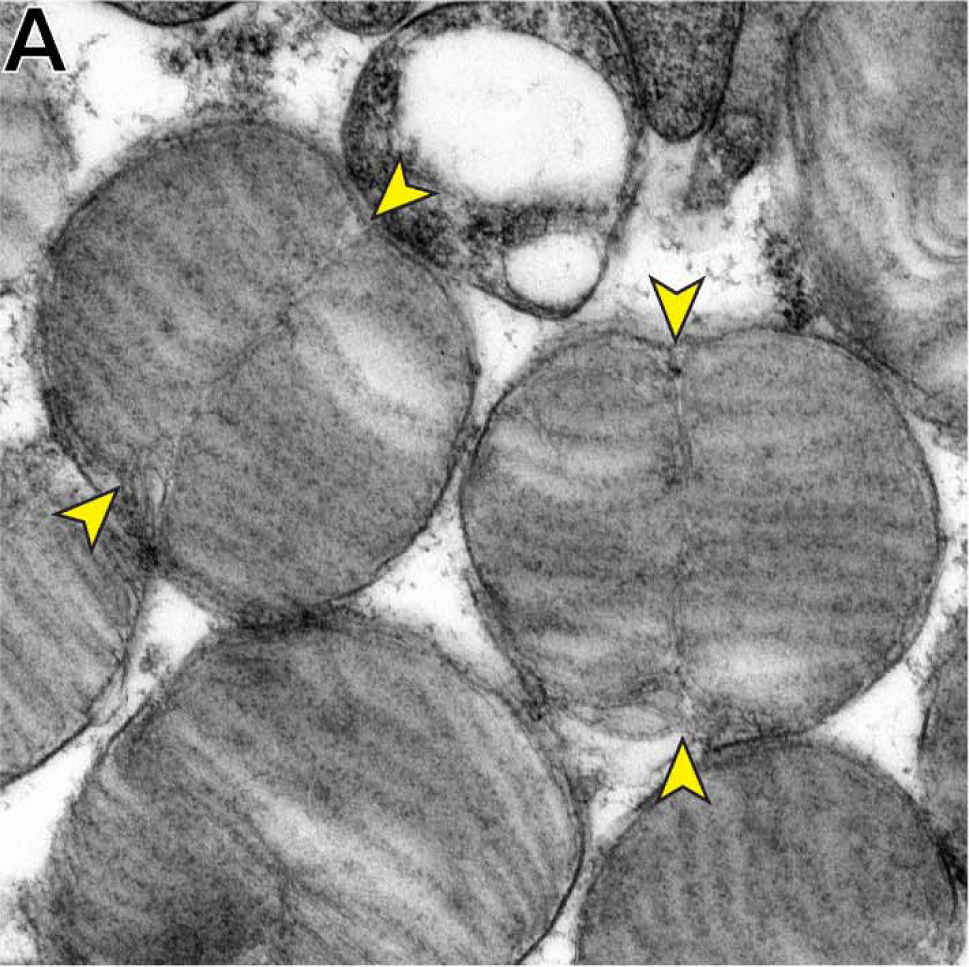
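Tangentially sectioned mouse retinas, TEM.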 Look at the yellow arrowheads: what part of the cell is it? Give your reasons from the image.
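Incisure ends. Rounded profiles bounded by a membrane, filled with banded disc stacks. A thin straight line runs across a round profile nearly from edge to edge. The arrowheads sit where these lines meet the rim of the profile.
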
